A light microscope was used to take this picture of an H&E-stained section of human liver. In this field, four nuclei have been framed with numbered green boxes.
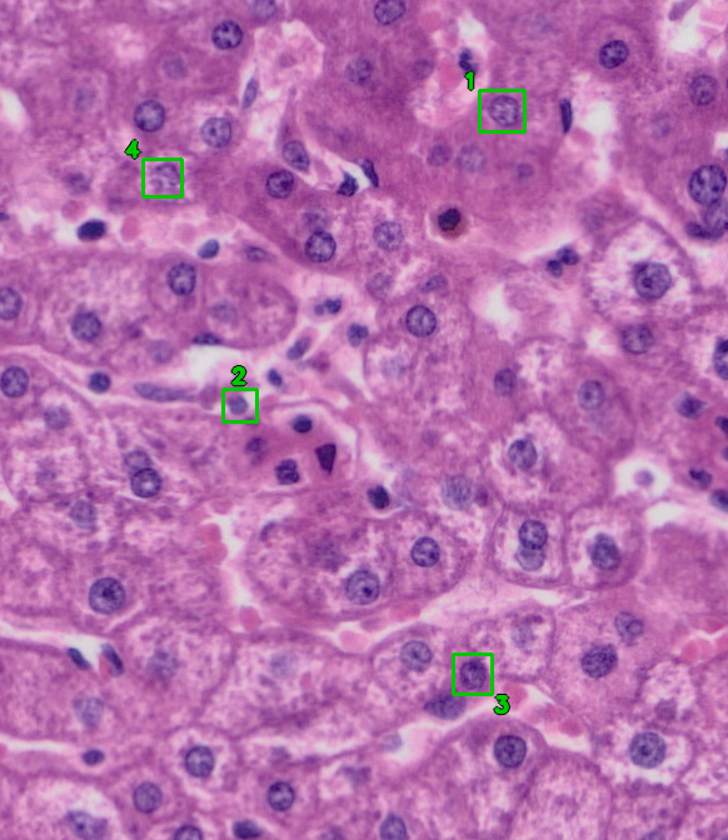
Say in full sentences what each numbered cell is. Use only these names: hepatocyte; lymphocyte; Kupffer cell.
Cells 1, 3 and 4 are hepatocytes. Cell 2 is a lymphocyte.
